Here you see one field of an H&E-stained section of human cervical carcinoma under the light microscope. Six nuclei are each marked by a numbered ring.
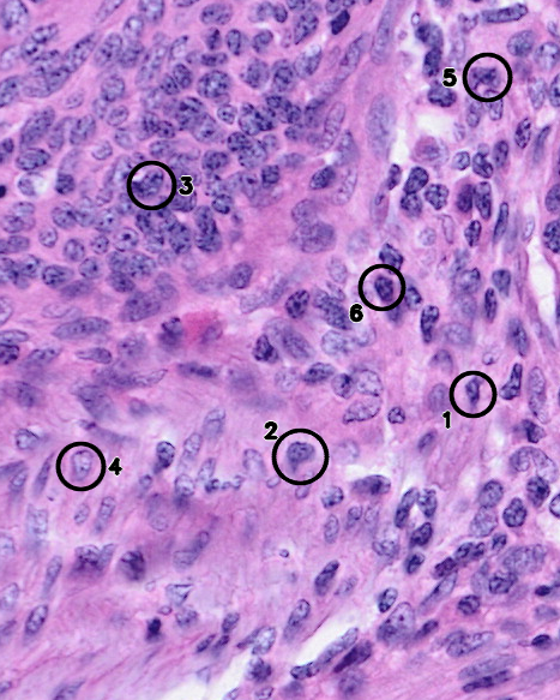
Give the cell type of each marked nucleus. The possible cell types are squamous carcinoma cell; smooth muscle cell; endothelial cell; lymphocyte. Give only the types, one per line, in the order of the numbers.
lymphocyte
lymphocyte
squamous carcinoma cell
smooth muscle cell
lymphocyte
lymphocyte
